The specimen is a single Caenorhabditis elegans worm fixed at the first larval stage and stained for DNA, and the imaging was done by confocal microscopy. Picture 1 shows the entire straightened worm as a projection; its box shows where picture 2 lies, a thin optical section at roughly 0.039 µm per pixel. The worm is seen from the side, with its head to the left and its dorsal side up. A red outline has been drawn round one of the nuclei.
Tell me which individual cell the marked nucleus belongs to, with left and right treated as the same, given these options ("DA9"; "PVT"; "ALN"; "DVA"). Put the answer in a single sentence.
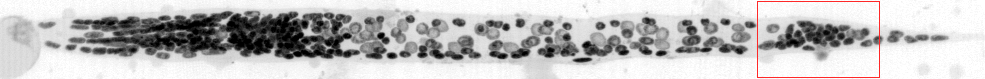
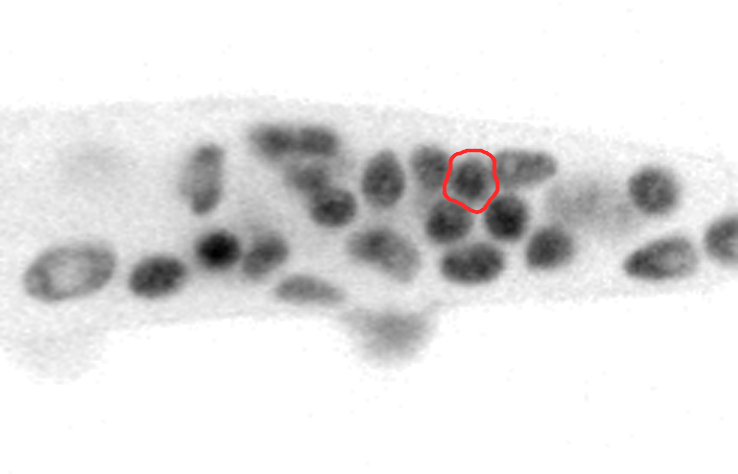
It is the nucleus of ALN, a neuron.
